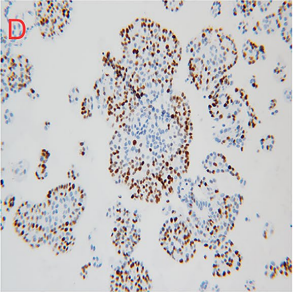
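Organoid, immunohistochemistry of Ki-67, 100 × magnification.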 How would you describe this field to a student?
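Many nuclei are stained dark brown, while the others are counterstained pale blue. Brown nuclei are scattered through most clusters, often crowded at their edges.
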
